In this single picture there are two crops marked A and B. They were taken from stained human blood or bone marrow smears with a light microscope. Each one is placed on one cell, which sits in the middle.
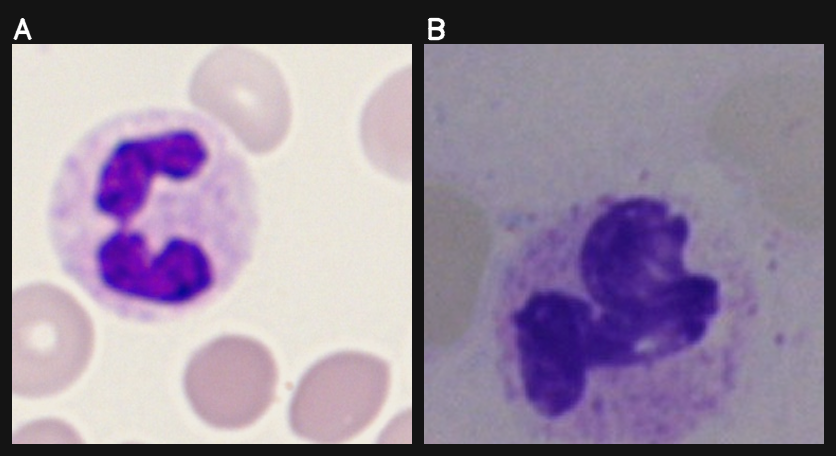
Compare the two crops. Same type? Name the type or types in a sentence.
Yes, for both crops, the central cells are segmented neutrophils.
